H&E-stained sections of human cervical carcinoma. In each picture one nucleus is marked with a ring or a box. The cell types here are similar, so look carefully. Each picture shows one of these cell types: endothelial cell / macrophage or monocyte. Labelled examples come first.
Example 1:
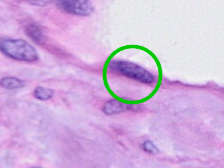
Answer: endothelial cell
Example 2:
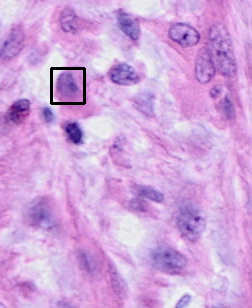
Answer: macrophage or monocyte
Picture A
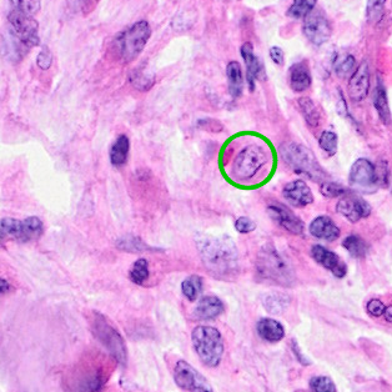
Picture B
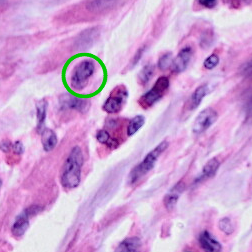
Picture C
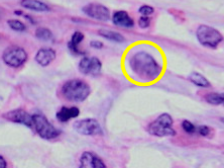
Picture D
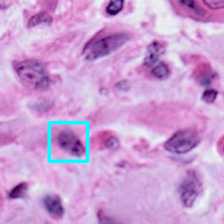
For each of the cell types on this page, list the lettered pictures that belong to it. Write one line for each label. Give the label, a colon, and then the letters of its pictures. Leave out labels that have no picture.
endothelial cell: A
macrophage or monocyte: B, C, D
